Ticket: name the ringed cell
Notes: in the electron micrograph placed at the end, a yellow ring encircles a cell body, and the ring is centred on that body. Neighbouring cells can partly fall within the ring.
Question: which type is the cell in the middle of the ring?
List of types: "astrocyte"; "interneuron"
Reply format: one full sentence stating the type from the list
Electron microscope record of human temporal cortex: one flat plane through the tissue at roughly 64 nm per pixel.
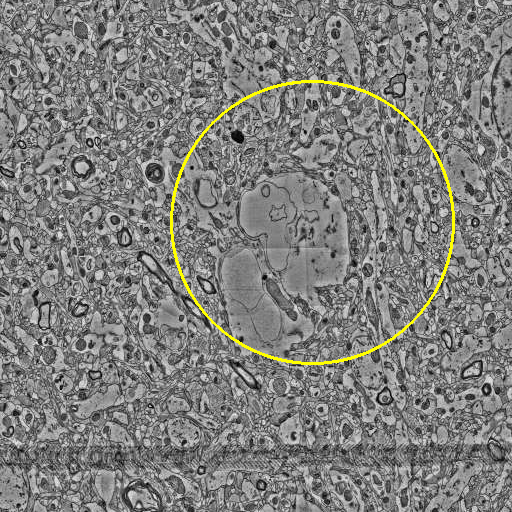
The cell sitting at the centre of the yellow ring is an astrocyte.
